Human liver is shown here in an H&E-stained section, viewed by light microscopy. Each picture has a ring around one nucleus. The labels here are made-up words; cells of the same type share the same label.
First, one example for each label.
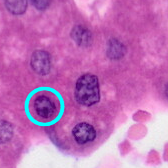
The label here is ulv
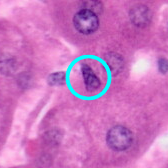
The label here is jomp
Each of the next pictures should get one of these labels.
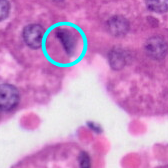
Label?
jomp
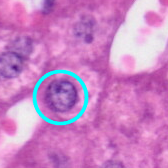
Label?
ulv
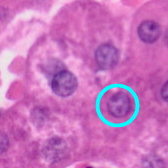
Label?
ulv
